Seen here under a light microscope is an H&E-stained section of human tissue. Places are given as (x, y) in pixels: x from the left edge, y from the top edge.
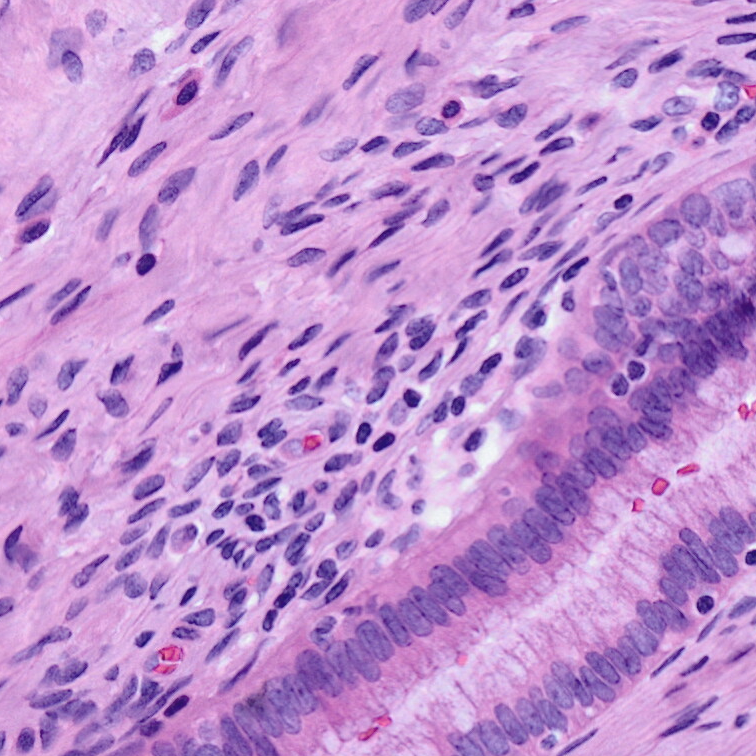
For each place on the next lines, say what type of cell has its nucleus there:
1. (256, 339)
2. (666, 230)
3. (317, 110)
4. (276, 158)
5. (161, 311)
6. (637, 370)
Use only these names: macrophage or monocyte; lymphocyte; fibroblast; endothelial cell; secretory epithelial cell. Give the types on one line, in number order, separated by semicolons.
fibroblast; secretory epithelial cell; fibroblast; fibroblast; fibroblast; secretory epithelial cell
